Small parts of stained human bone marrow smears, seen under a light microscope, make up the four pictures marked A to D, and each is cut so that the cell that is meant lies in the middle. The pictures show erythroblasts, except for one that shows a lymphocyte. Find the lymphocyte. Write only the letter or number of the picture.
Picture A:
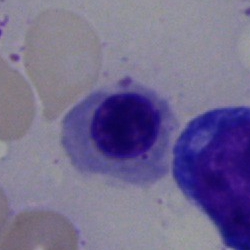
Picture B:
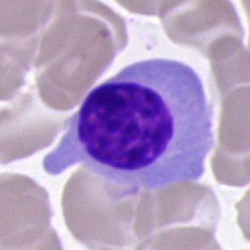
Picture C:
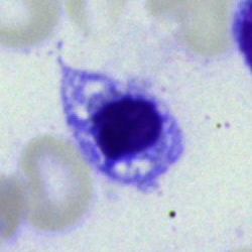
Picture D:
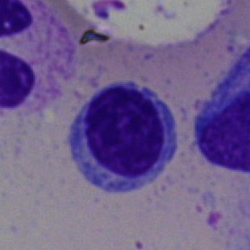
D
